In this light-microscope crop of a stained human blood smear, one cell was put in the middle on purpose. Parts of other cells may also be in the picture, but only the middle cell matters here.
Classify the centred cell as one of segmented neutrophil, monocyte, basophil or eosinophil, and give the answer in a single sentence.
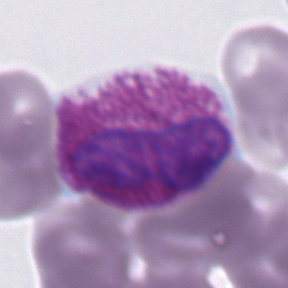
Positioned in the middle of the crop is an eosinophil.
